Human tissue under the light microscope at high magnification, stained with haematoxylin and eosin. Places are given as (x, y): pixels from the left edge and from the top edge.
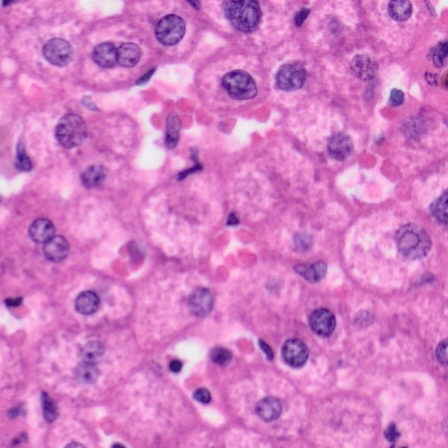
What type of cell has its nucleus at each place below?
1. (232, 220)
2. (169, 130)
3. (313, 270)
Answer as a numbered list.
1. fibroblast or stellate cell
2. Kupffer cell
3. Kupffer cell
